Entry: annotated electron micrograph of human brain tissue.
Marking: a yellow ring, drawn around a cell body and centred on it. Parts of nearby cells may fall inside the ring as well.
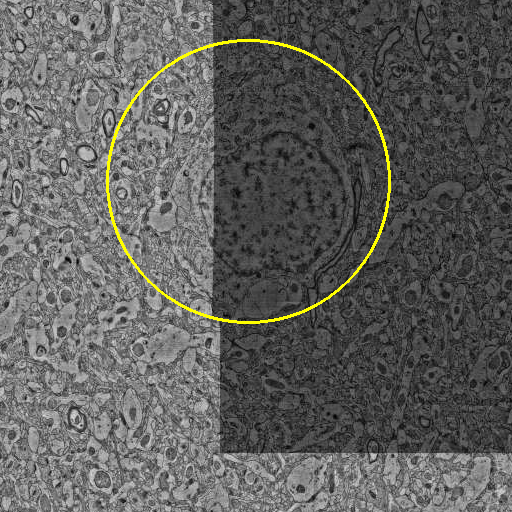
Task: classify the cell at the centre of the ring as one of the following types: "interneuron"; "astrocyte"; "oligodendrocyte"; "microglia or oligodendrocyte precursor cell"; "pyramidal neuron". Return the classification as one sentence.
The marked cell is classified as an interneuron.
